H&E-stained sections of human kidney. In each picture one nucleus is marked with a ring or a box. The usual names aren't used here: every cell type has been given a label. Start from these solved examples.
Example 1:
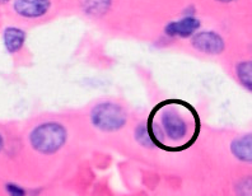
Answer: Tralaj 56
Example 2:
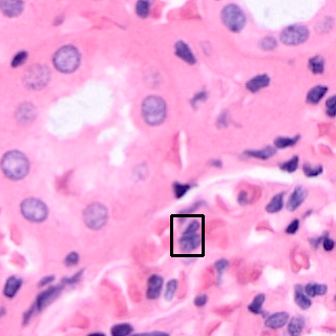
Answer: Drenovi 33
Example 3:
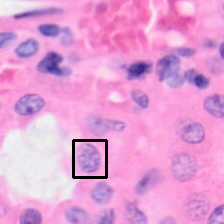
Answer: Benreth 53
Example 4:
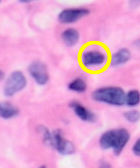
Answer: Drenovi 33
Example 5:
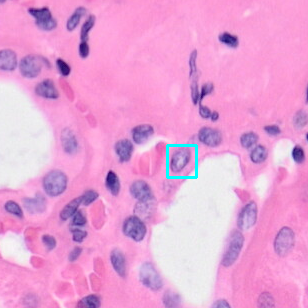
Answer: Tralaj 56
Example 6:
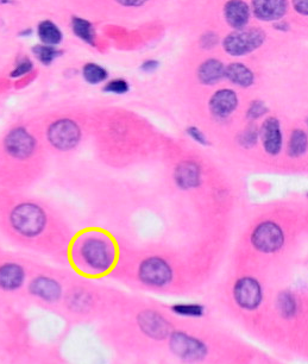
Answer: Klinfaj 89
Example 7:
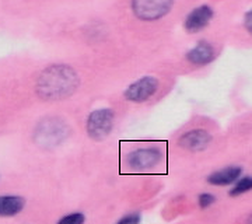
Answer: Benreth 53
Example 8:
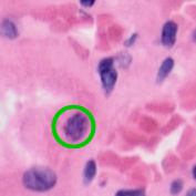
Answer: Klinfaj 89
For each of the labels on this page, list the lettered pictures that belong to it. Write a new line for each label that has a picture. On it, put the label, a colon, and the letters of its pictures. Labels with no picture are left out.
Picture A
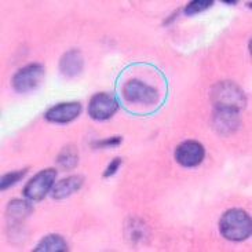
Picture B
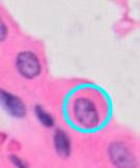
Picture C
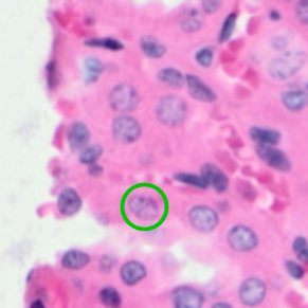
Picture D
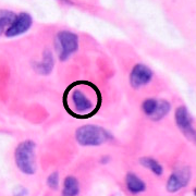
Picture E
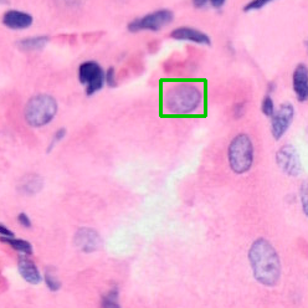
Tralaj 56: A
Drenovi 33: D
Benreth 53: C
Klinfaj 89: B, E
